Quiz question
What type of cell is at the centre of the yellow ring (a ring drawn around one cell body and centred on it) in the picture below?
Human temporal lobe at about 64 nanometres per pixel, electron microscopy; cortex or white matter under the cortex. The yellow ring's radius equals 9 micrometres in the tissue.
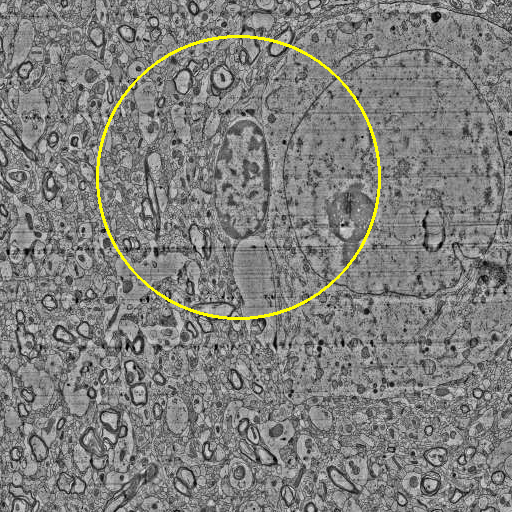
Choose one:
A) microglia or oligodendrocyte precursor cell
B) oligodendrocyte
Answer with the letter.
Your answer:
A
